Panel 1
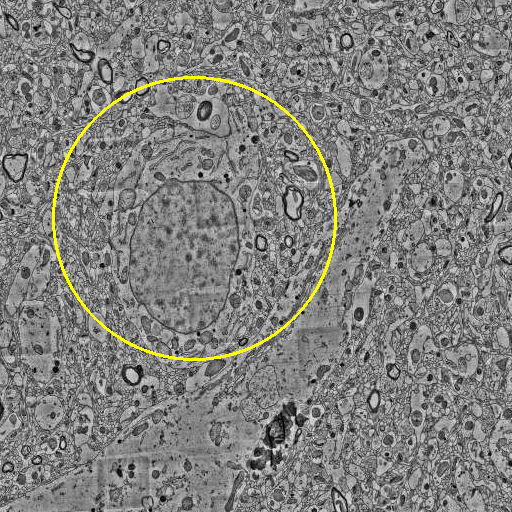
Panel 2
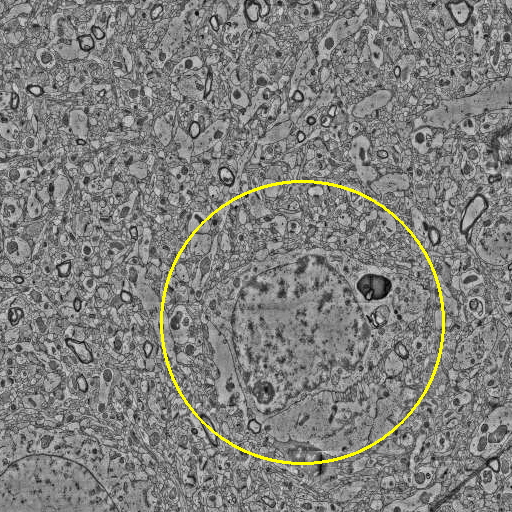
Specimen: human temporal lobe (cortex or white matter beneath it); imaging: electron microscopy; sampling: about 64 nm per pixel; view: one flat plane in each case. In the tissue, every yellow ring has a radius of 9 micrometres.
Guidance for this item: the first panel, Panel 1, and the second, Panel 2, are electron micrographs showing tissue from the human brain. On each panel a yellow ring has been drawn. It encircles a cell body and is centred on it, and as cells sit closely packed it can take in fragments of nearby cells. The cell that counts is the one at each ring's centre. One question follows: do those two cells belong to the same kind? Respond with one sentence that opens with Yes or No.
Yes, the cells at the ring centres in Panel 1 and Panel 2 are of one kind.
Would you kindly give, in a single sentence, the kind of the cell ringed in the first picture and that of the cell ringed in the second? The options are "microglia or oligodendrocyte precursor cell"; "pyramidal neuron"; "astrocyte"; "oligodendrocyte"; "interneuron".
Each of the two cells is an interneuron.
